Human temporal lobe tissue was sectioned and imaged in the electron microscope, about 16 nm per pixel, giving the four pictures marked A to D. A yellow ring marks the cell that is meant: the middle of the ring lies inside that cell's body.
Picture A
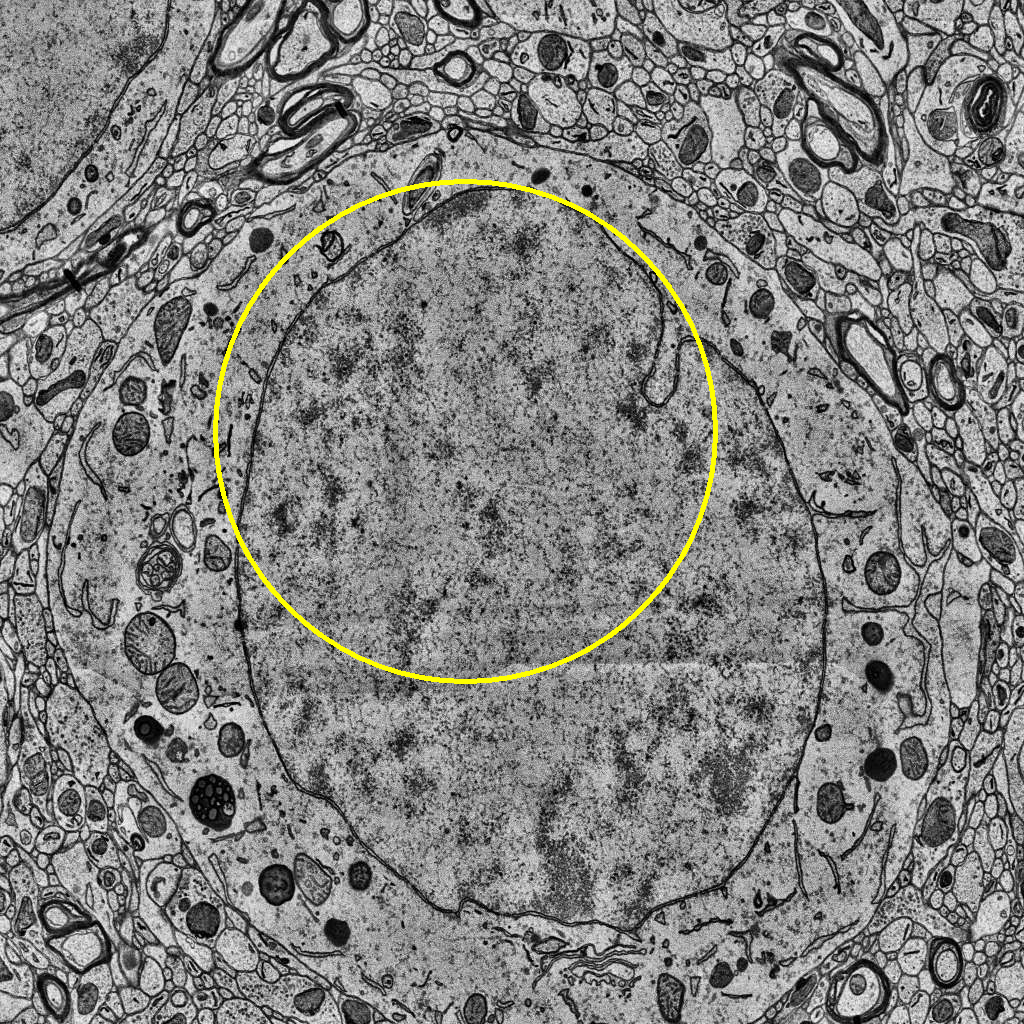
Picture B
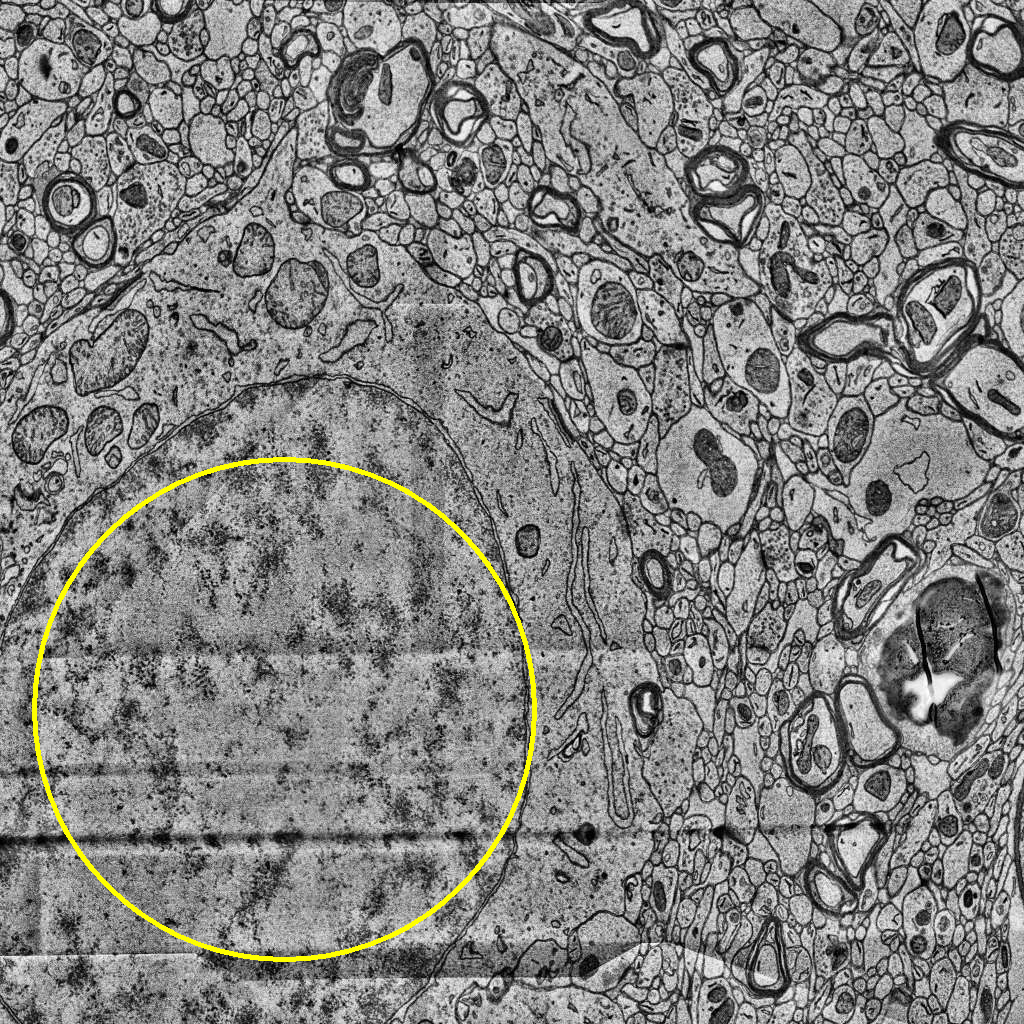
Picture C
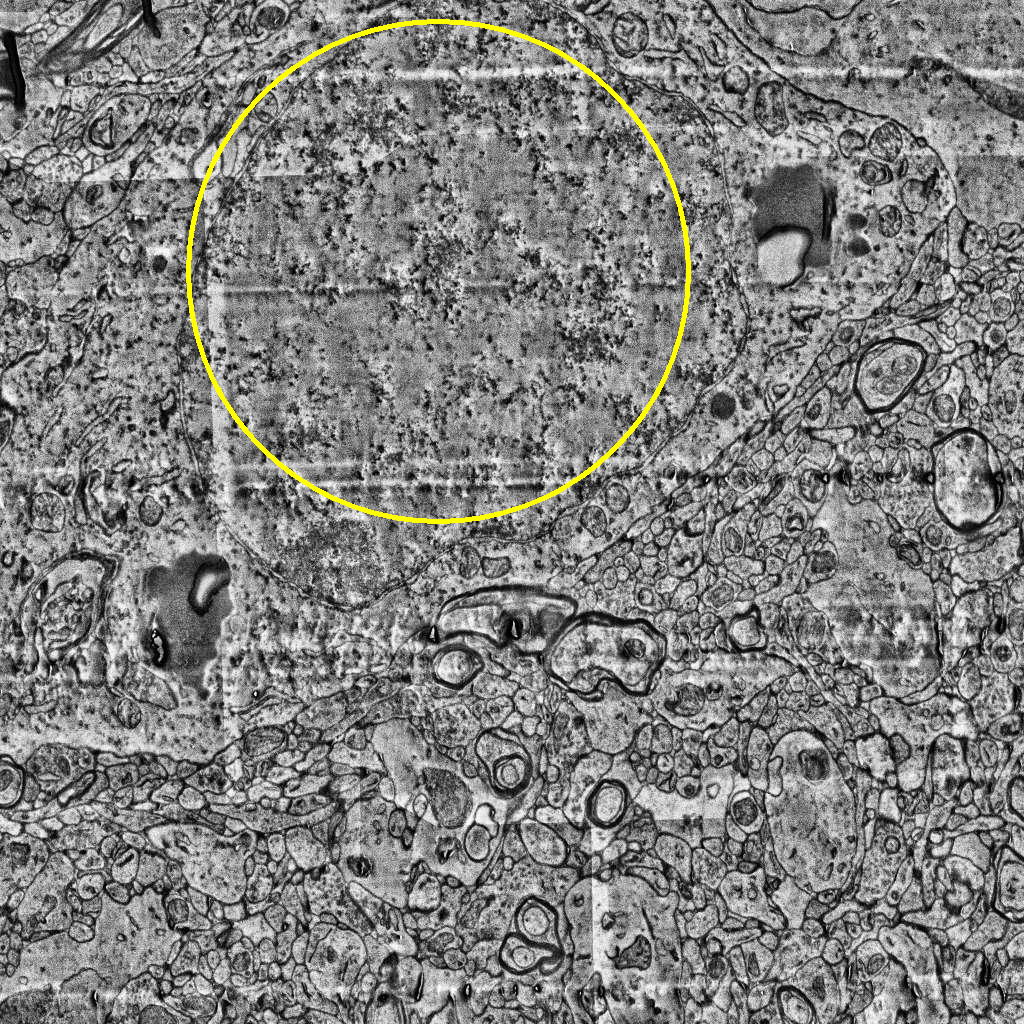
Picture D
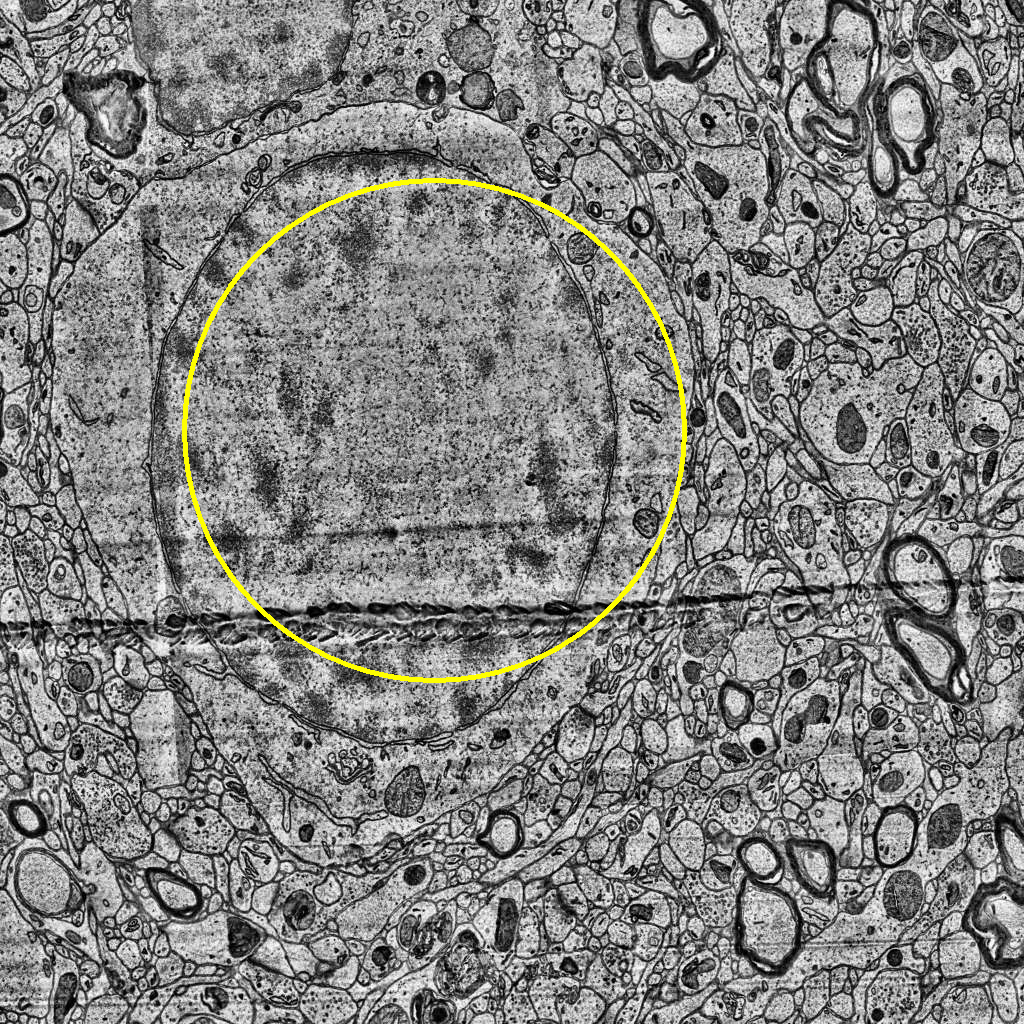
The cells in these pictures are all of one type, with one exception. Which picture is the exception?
Unlike the rest, which show interneurons, picture A shows a pyramidal neuron.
